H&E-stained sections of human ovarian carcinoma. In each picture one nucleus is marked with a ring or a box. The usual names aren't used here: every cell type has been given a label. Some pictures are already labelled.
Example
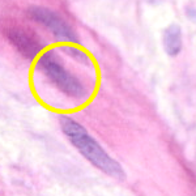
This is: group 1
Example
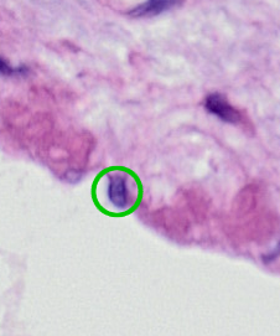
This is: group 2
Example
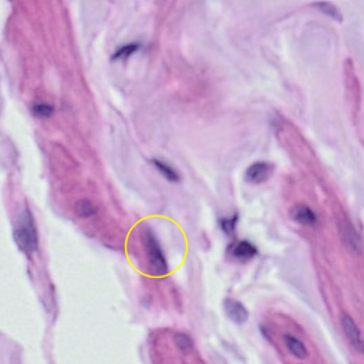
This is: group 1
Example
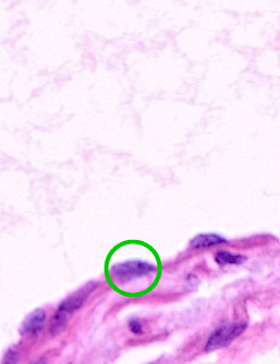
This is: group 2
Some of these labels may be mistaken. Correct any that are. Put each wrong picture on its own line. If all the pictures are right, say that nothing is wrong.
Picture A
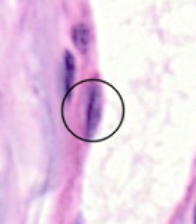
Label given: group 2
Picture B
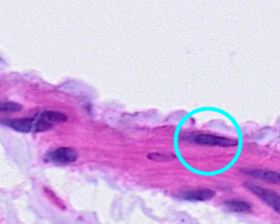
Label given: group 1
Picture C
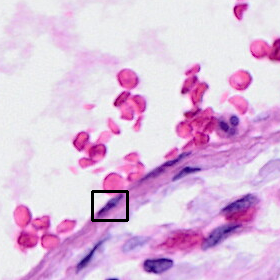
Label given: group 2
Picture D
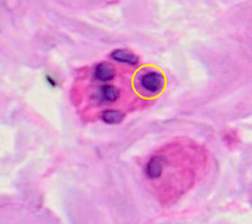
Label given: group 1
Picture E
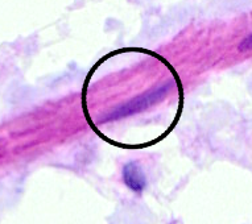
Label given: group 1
Nothing to fix; every label fits.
